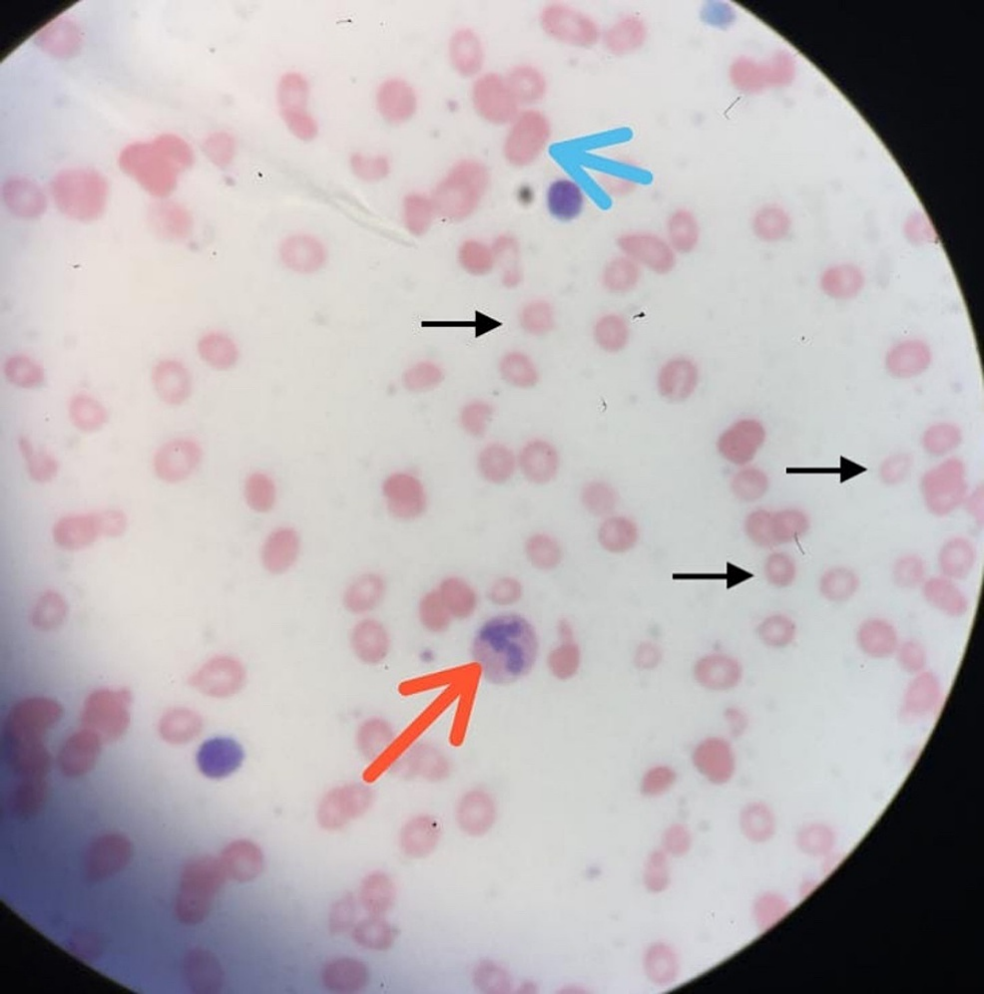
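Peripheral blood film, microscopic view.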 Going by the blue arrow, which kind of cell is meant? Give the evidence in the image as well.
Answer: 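Macro-ovalocyte. The marked red cell is oval rather than round. It is larger than most neighbouring red cells.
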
